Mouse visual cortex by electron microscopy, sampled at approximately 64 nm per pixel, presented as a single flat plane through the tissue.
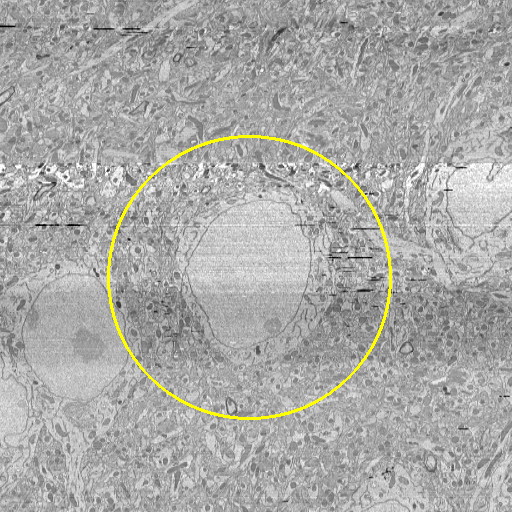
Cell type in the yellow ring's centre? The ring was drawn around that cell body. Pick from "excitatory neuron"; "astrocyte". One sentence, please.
The ringed cell body is that of an excitatory neuron.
